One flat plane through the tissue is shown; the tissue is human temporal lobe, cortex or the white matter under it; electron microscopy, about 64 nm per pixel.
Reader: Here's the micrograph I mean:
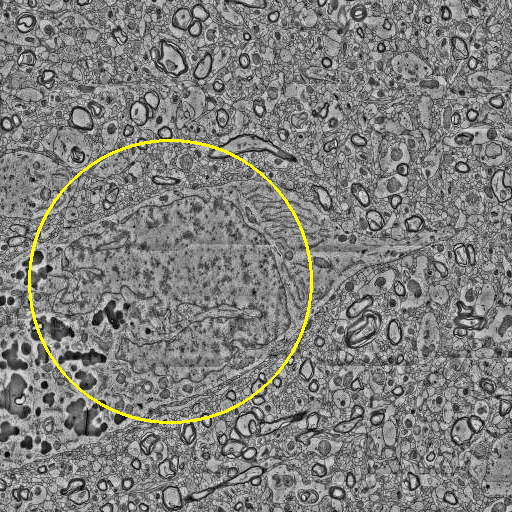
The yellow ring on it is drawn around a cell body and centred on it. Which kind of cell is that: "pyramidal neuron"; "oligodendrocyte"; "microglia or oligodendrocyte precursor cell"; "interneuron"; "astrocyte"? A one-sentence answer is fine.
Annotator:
The ring is centred on an interneuron.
